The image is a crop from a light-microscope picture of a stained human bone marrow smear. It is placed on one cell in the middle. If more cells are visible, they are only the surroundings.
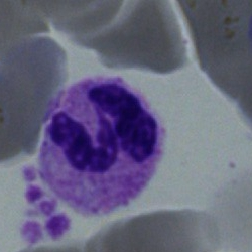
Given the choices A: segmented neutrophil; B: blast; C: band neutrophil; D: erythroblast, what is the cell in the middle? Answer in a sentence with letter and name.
In the centre of the crop there is a segmented neutrophil, making option A correct.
